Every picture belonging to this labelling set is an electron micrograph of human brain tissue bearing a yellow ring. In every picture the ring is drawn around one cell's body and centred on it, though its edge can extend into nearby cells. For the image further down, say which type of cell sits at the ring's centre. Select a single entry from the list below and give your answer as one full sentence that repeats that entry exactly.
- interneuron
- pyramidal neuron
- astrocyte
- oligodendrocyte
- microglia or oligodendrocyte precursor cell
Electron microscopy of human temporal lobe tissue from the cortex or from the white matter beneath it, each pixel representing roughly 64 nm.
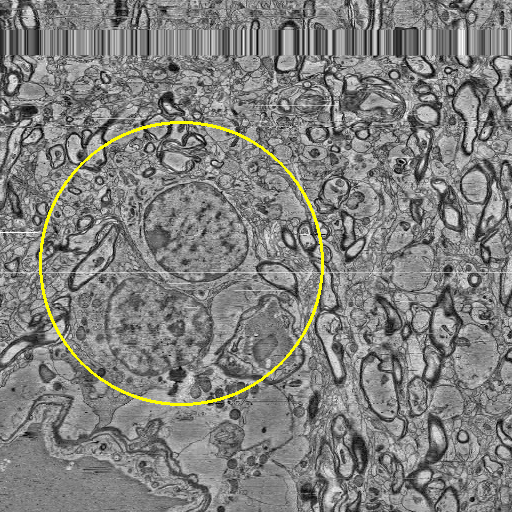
In the picture, a microglial cell or oligodendrocyte precursor cell is the cell at the centre of the yellow ring.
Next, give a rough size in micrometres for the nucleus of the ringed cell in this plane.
Roughly 7 micrometres across, measured in this plane.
